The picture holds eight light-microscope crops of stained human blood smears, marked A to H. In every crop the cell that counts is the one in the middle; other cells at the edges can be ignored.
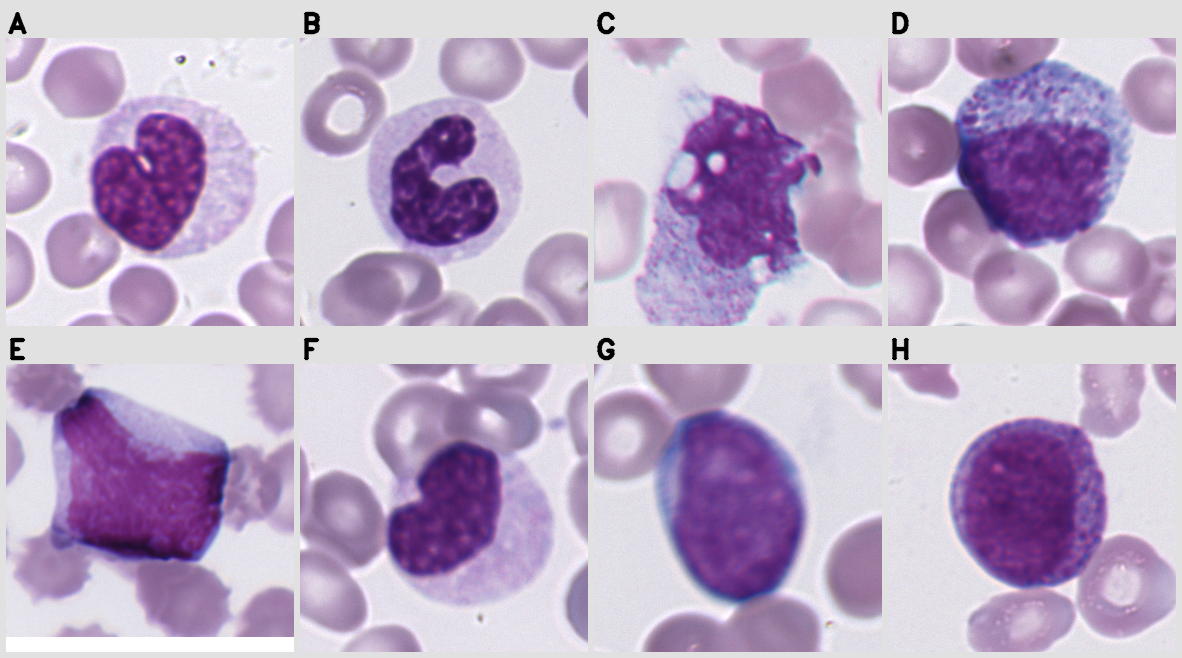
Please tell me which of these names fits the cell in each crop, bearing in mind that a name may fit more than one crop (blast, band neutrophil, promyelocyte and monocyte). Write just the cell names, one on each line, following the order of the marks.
band neutrophil
band neutrophil
monocyte
promyelocyte
blast
band neutrophil
blast
promyelocyte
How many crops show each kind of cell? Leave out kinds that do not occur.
band neutrophil: 3
promyelocyte: 2
blast: 2
monocyte: 1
